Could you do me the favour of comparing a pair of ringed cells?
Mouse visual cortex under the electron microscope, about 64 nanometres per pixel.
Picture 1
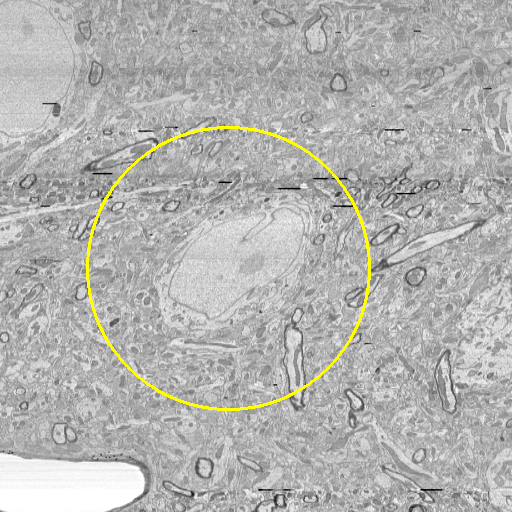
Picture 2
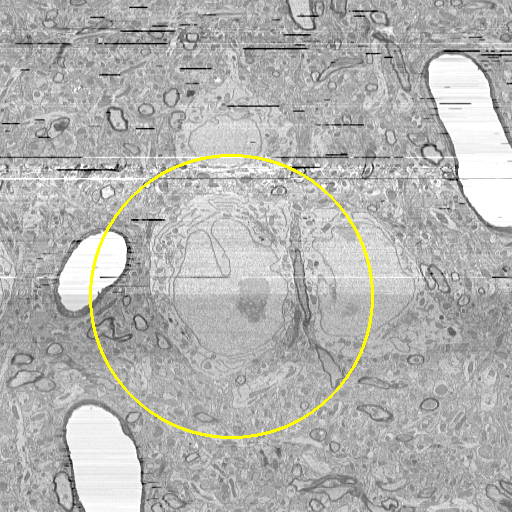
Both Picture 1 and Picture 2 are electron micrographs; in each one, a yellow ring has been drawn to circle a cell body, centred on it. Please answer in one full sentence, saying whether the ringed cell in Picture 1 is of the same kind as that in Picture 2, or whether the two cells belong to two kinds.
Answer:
The ringed cell in Picture 1 is of the same kind as that in Picture 2.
